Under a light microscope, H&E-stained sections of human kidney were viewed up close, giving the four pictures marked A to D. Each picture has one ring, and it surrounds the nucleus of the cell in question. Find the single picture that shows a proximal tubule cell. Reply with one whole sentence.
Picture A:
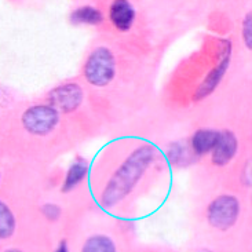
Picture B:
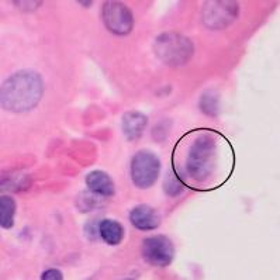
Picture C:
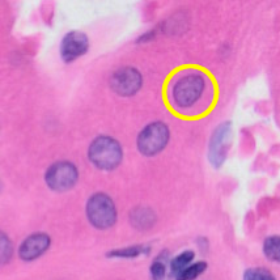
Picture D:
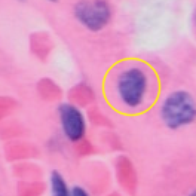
It is picture C that shows the proximal tubule cell.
